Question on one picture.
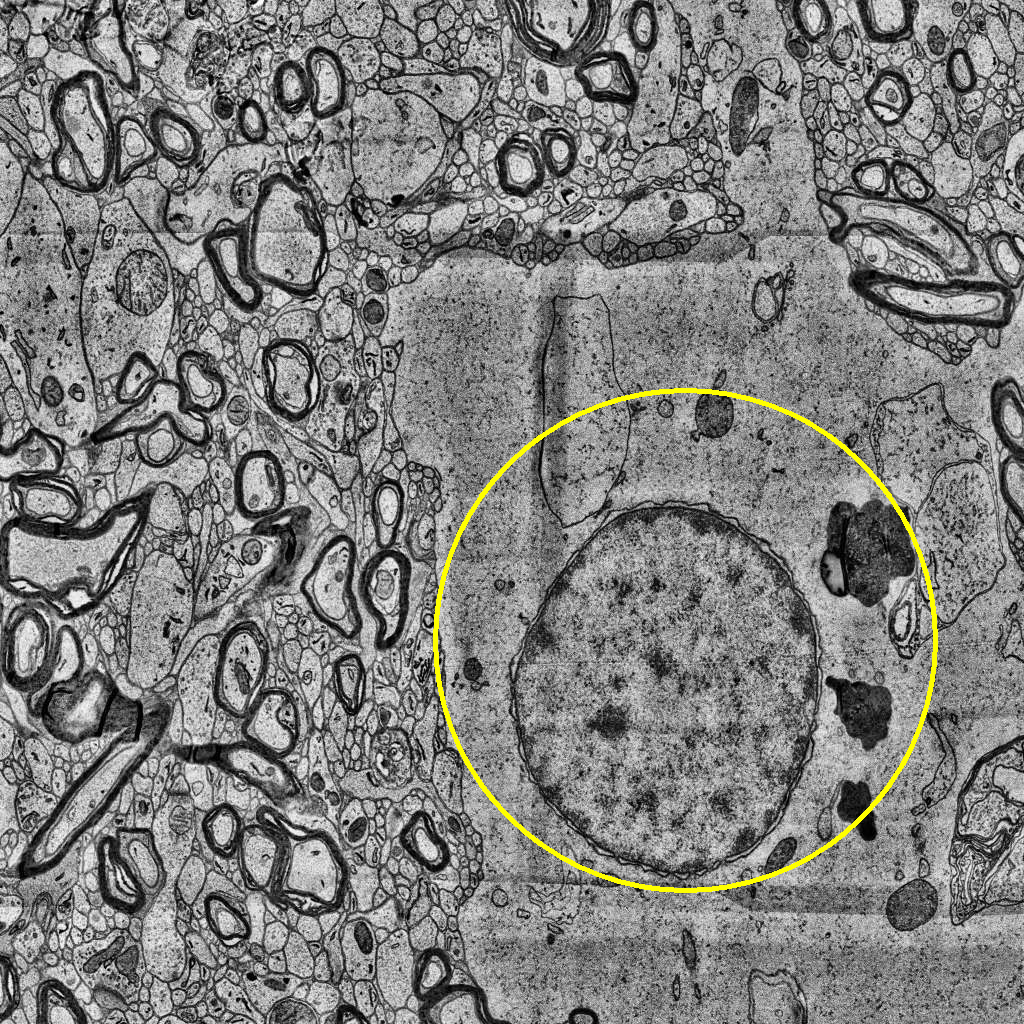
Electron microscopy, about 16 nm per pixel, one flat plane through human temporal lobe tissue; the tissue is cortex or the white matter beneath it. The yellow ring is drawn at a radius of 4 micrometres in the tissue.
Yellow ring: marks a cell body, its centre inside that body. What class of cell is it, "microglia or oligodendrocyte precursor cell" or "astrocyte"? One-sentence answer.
This is an astrocyte, the cell at the ring's centre.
